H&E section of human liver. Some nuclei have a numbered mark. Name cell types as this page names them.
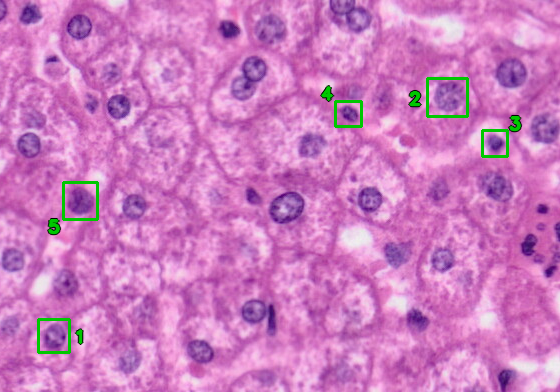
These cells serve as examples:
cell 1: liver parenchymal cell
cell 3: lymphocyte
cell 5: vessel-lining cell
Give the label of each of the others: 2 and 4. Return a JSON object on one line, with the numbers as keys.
{"2": "liver parenchymal cell", "4": "lymphocyte"}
